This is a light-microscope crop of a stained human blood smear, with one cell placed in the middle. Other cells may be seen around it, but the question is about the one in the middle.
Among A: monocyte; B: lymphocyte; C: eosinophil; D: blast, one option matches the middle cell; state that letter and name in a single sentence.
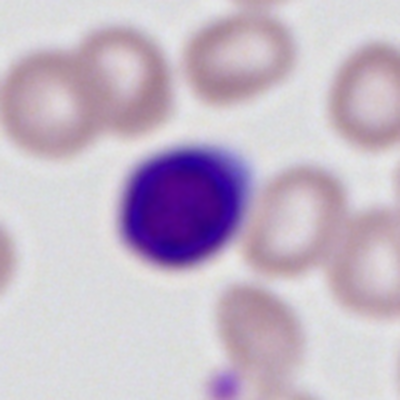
In the middle of the crop is a lymphocyte; option B is therefore correct.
